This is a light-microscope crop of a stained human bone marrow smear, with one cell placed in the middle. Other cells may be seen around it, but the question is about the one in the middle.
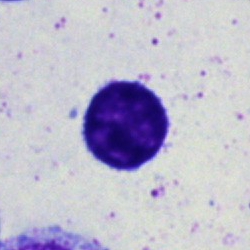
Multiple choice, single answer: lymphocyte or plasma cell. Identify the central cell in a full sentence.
The cell centered in this field of view is a lymphocyte.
